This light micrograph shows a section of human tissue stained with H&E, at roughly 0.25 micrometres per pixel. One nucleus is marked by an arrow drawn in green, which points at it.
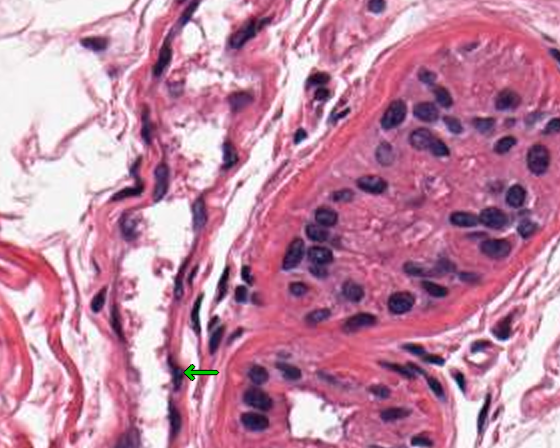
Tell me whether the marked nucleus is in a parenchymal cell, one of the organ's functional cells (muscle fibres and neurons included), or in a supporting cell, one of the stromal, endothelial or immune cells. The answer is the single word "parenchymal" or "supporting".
supporting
